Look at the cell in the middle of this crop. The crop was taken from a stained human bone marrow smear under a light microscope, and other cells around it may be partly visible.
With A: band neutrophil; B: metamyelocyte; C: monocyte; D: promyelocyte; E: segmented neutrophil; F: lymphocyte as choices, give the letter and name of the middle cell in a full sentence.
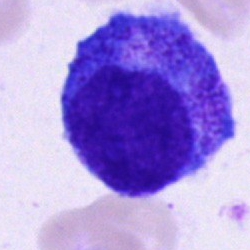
The correct identification, given in option D, is that the central cell is a promyelocyte.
